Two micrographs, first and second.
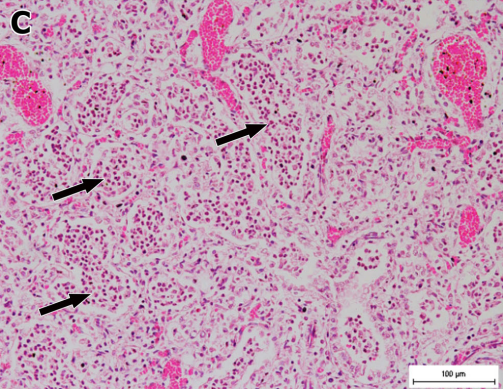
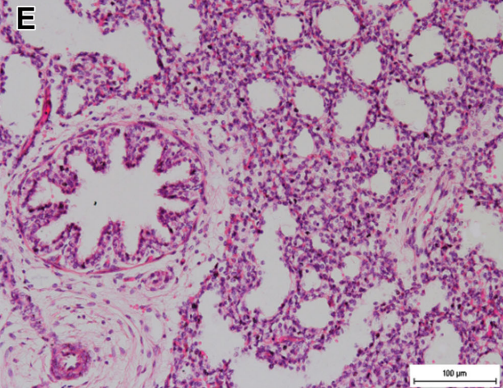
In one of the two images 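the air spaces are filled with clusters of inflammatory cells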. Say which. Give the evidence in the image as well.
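First image: most air spaces are packed with dense rounded clusters of cells.
The first image.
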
